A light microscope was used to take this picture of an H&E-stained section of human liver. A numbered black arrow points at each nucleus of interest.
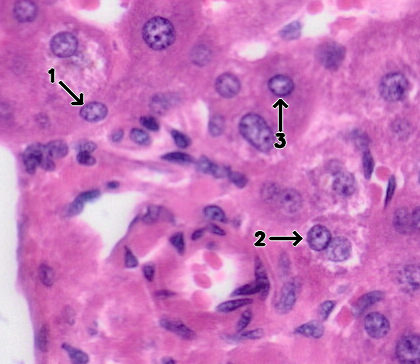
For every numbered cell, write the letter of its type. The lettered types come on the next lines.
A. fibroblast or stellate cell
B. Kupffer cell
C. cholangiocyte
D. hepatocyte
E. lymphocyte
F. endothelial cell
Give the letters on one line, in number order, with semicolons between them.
C; D; D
